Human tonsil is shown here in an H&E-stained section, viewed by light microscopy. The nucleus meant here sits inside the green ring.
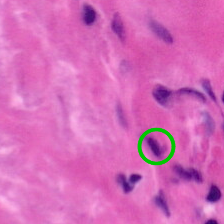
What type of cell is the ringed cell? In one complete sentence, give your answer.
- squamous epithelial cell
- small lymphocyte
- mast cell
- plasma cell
As for its identity, the ringed cell is a mast cell.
